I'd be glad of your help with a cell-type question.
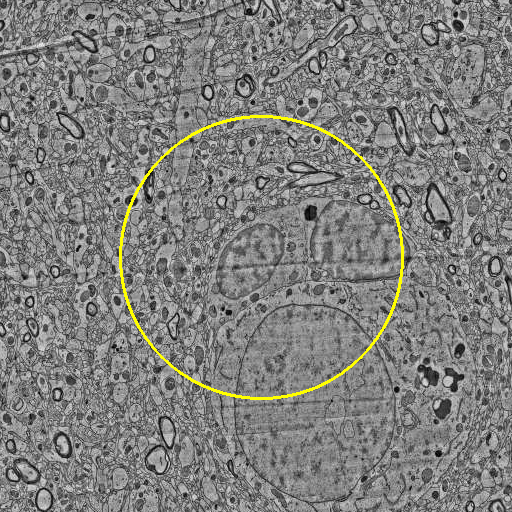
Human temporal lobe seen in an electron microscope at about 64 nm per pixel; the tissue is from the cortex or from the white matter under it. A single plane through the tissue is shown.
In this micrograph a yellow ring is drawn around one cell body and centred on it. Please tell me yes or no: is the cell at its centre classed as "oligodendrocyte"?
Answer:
yes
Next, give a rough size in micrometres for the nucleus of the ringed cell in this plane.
Approximately 5 micrometres long and 3 micrometres wide, so clearly longer than it is wide in this plane.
